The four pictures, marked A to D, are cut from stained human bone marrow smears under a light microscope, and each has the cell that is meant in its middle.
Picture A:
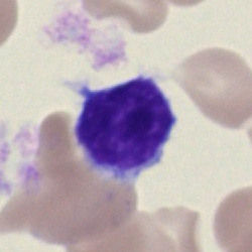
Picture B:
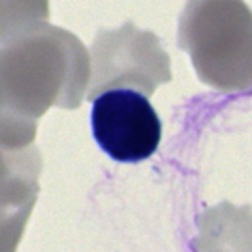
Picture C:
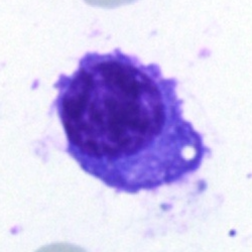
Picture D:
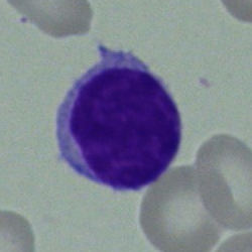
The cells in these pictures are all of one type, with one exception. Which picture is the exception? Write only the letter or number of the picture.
C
